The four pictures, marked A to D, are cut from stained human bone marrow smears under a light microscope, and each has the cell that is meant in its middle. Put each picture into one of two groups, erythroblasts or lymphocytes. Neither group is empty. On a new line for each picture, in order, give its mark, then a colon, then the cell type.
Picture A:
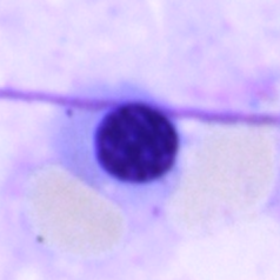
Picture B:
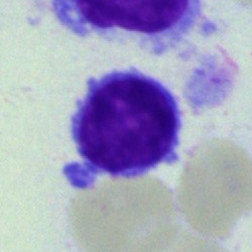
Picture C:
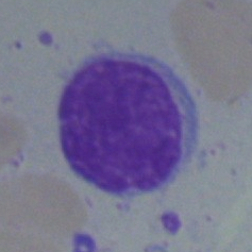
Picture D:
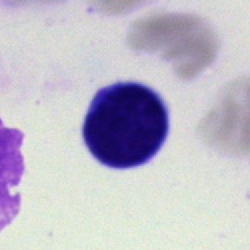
A: erythroblast
B: lymphocyte
C: lymphocyte
D: lymphocyte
